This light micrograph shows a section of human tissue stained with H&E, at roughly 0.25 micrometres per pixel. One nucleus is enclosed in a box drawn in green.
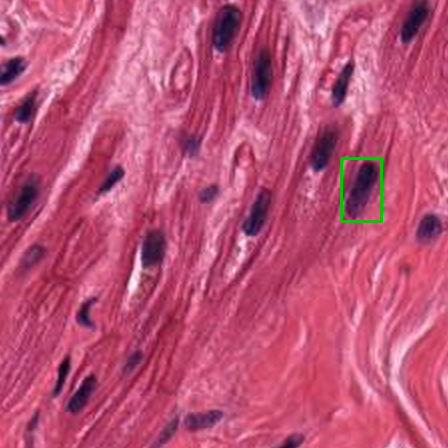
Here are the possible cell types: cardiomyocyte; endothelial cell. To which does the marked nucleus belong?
cardiomyocyte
